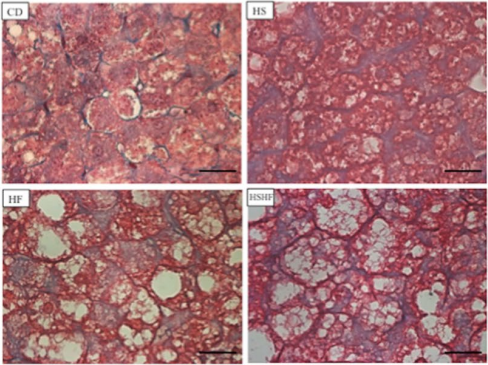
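Four fields of liver show hepatocytes whose cytoplasm stains red with this method. Thin blue-stained strands run between the cells and outline their borders. Many round, clear, unstained vacuoles lie within the cells, some small and some large enough to fill much of a cell. A vessel lumen ringed by blue-stained material can be seen in one field.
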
